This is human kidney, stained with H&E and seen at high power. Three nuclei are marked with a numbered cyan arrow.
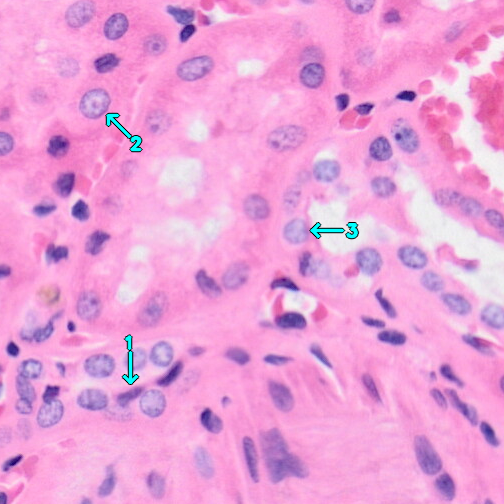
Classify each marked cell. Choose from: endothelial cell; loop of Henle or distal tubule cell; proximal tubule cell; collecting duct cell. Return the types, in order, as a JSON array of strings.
["collecting duct cell", "proximal tubule cell", "collecting duct cell"]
